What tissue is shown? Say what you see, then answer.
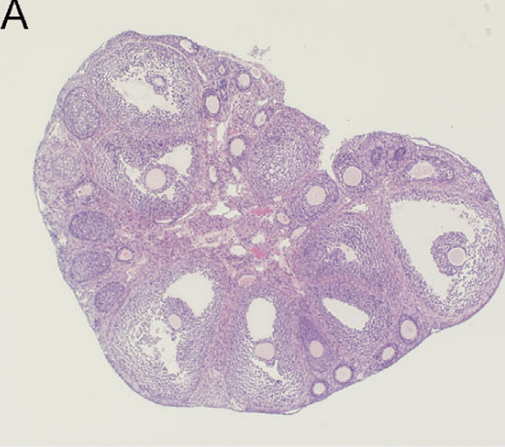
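Ovary. An oval organ section packed with round follicles of many sizes. Several large follicles have clear fluid-filled cavities with an oocyte at one side. Small round oocytes surrounded by layers of purple granulosa cells.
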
